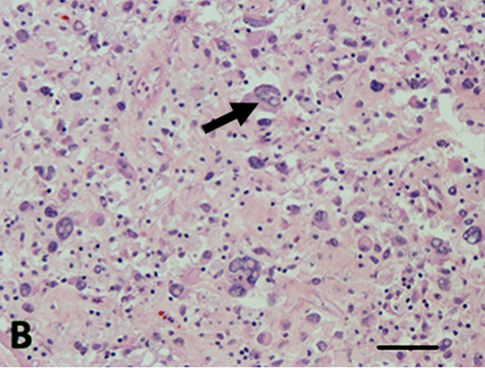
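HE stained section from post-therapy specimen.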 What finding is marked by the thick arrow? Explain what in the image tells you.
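Anaplastic features. The arrowed cell is clearly larger than the small cells around it. It has a large, irregular nucleus. Such large cells lie scattered among small cells in pink stroma.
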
